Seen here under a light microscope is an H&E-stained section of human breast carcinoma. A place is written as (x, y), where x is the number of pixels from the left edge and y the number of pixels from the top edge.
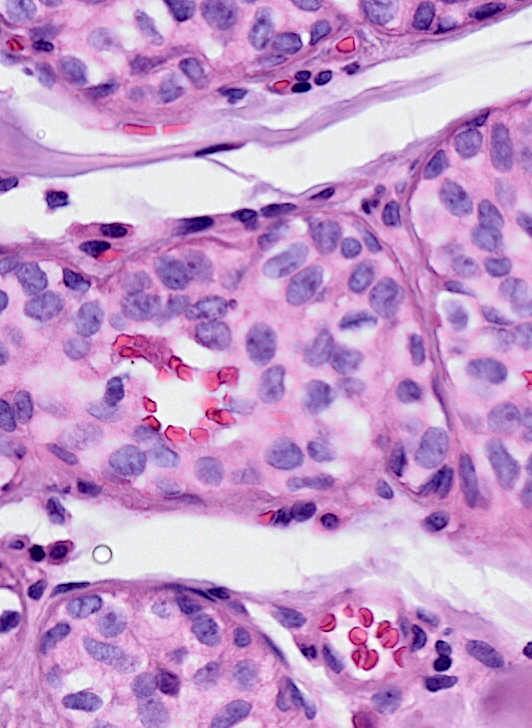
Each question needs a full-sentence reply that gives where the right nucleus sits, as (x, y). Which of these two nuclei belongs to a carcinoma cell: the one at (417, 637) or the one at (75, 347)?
The correct choice is the nucleus at (75, 347), which belongs to a carcinoma cell.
